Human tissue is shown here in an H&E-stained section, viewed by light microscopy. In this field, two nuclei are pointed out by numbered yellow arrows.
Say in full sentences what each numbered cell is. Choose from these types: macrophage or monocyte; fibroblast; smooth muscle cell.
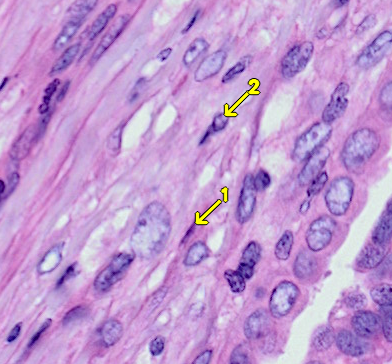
Cell 1 is a fibroblast. Cell 2 is a macrophage or monocyte.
